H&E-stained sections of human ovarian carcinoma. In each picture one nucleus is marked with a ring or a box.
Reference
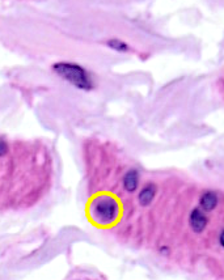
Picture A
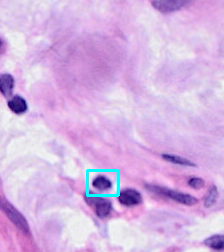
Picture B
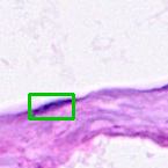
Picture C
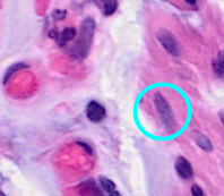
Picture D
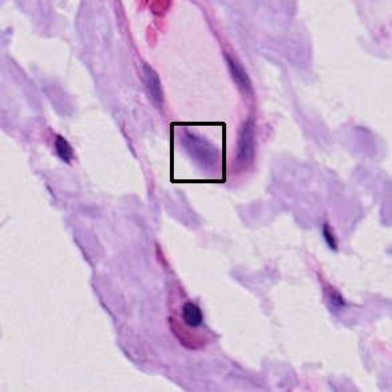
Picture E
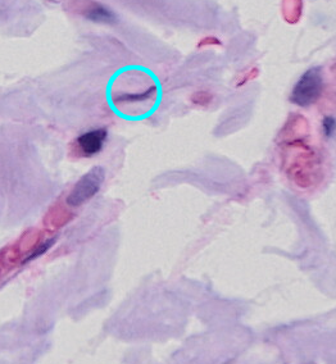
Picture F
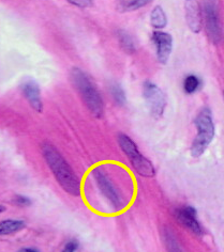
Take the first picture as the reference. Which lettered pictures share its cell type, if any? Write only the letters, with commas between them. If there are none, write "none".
C, F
